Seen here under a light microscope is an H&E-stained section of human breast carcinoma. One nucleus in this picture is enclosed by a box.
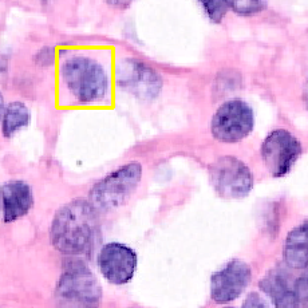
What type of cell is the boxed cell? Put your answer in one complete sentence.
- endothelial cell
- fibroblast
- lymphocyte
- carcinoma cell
As to its cell type, the boxed cell is a carcinoma cell.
